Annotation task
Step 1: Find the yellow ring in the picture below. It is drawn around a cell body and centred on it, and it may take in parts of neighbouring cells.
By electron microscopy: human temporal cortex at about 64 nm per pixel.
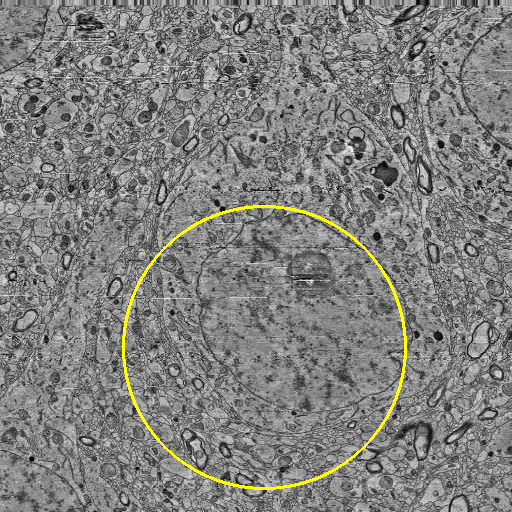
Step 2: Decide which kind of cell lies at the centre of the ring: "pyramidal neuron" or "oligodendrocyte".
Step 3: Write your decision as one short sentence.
The kind of cell at the ring's centre is a pyramidal neuron.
